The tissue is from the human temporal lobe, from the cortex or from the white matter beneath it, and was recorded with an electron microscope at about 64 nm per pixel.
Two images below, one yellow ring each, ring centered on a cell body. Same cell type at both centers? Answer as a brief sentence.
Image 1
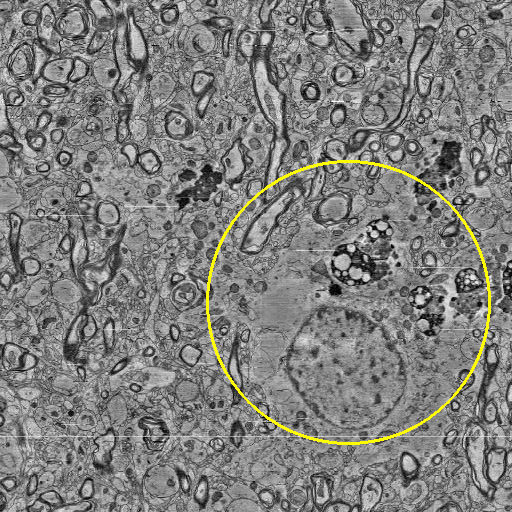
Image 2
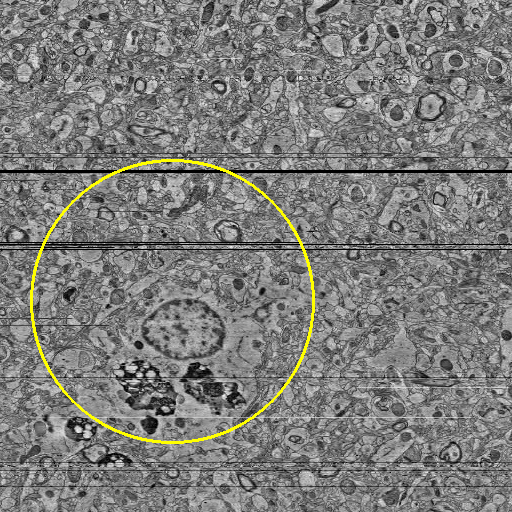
Yes, both cells are of the same type.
